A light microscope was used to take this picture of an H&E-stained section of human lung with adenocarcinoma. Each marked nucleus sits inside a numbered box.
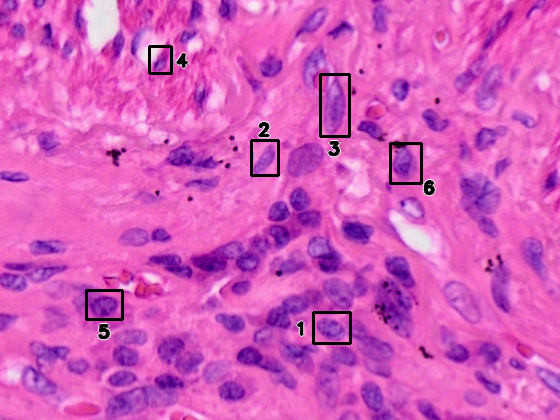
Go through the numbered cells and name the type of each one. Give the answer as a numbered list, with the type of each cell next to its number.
1. mast cell
2. fibroblast
3. endothelial cell
4. smooth muscle cell or pericyte
5. plasma cell
6. fibroblast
